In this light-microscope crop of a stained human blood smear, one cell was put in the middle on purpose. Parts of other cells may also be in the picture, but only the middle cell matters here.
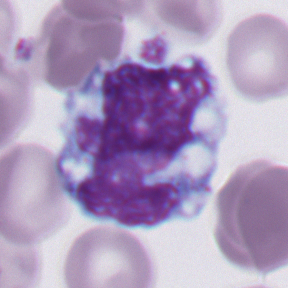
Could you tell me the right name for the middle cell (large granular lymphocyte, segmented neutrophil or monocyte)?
monocyte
